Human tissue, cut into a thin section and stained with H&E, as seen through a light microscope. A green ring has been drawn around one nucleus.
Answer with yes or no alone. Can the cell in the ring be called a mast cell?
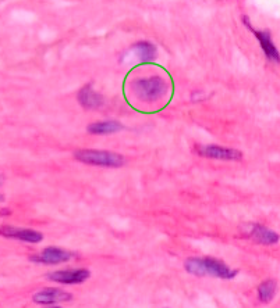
no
